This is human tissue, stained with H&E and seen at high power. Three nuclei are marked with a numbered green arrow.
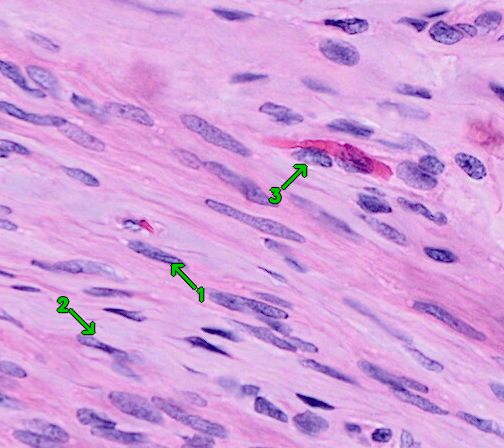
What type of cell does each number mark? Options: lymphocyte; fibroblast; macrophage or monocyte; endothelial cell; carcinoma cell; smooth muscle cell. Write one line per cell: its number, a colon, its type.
1: smooth muscle cell
2: smooth muscle cell
3: endothelial cell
